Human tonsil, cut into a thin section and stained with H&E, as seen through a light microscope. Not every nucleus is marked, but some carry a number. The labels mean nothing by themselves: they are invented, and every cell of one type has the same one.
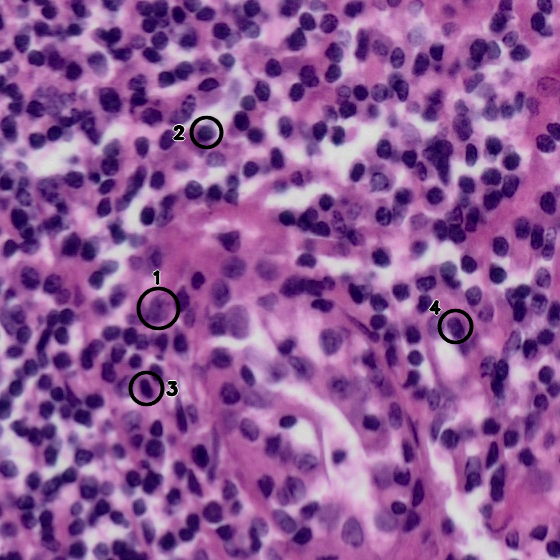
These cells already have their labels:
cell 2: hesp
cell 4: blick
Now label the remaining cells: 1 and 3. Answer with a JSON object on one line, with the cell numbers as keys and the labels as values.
{"1": "blick", "3": "blick"}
